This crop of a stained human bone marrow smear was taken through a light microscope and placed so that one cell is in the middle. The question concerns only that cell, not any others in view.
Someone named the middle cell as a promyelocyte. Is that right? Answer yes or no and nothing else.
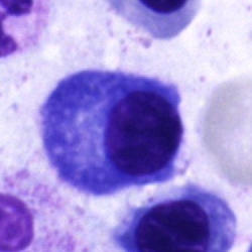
no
